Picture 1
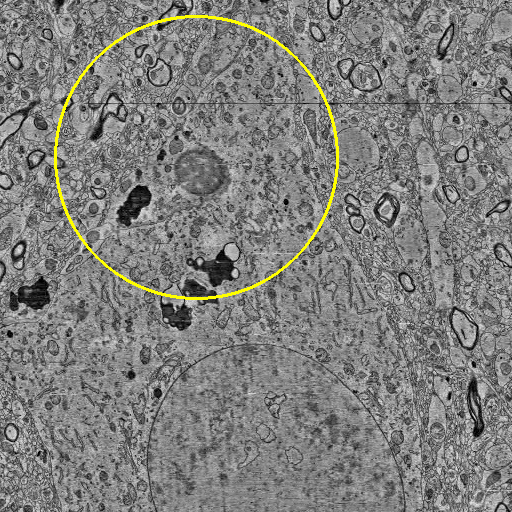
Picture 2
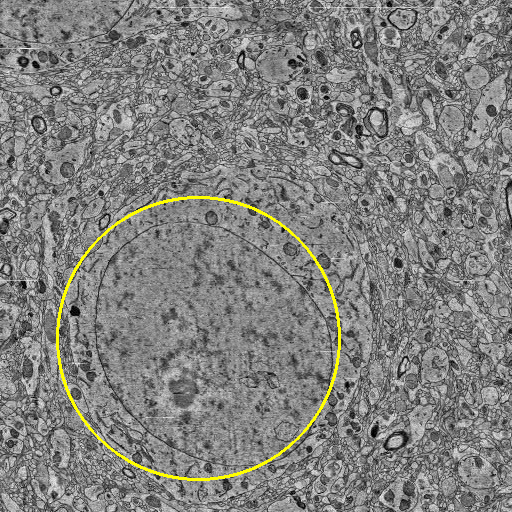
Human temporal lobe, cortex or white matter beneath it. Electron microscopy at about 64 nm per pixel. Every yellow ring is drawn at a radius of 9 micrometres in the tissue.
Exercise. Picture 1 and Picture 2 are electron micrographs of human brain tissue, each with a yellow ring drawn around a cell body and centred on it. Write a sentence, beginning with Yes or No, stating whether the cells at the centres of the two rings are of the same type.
No, the cells at the centres of the rings are of two types.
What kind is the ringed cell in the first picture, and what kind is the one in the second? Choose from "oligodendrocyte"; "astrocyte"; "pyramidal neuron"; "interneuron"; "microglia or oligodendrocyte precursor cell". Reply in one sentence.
The first cell is an oligodendrocyte; the second is a pyramidal neuron.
